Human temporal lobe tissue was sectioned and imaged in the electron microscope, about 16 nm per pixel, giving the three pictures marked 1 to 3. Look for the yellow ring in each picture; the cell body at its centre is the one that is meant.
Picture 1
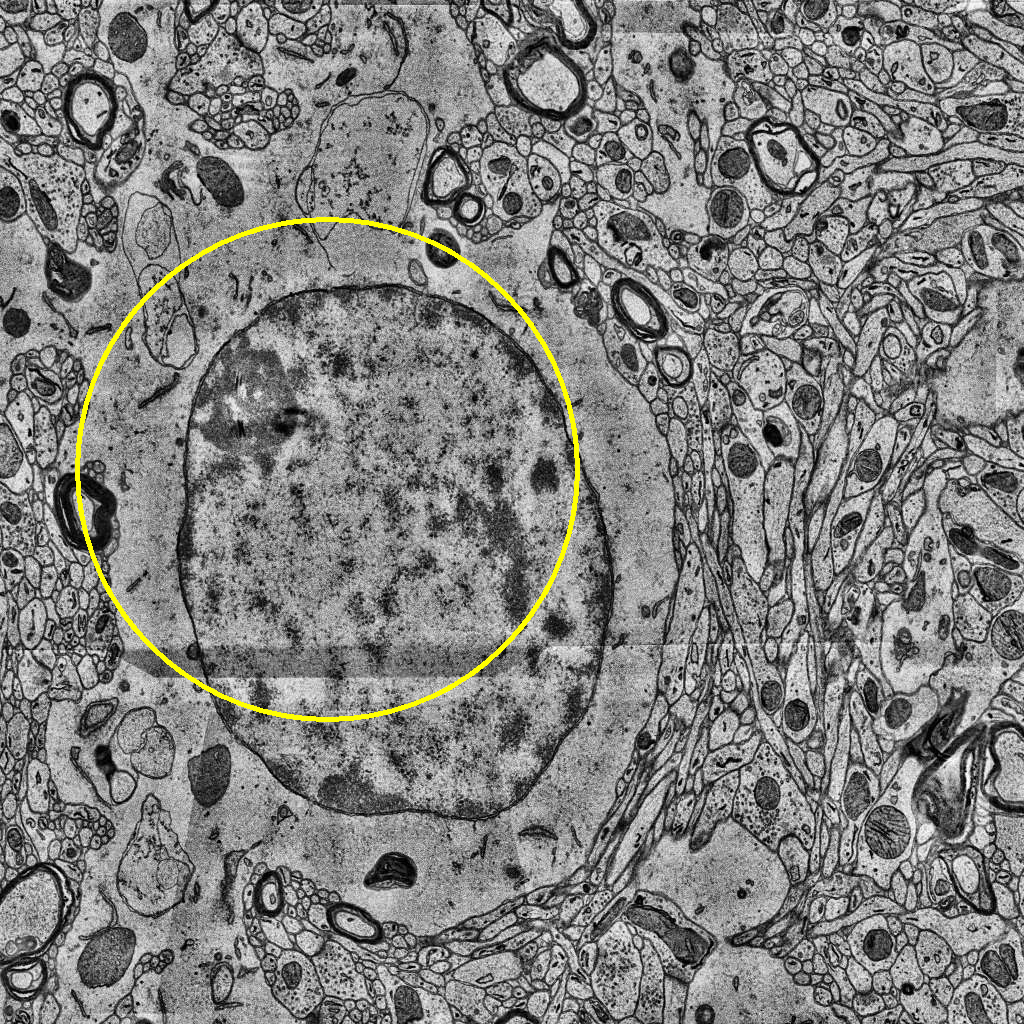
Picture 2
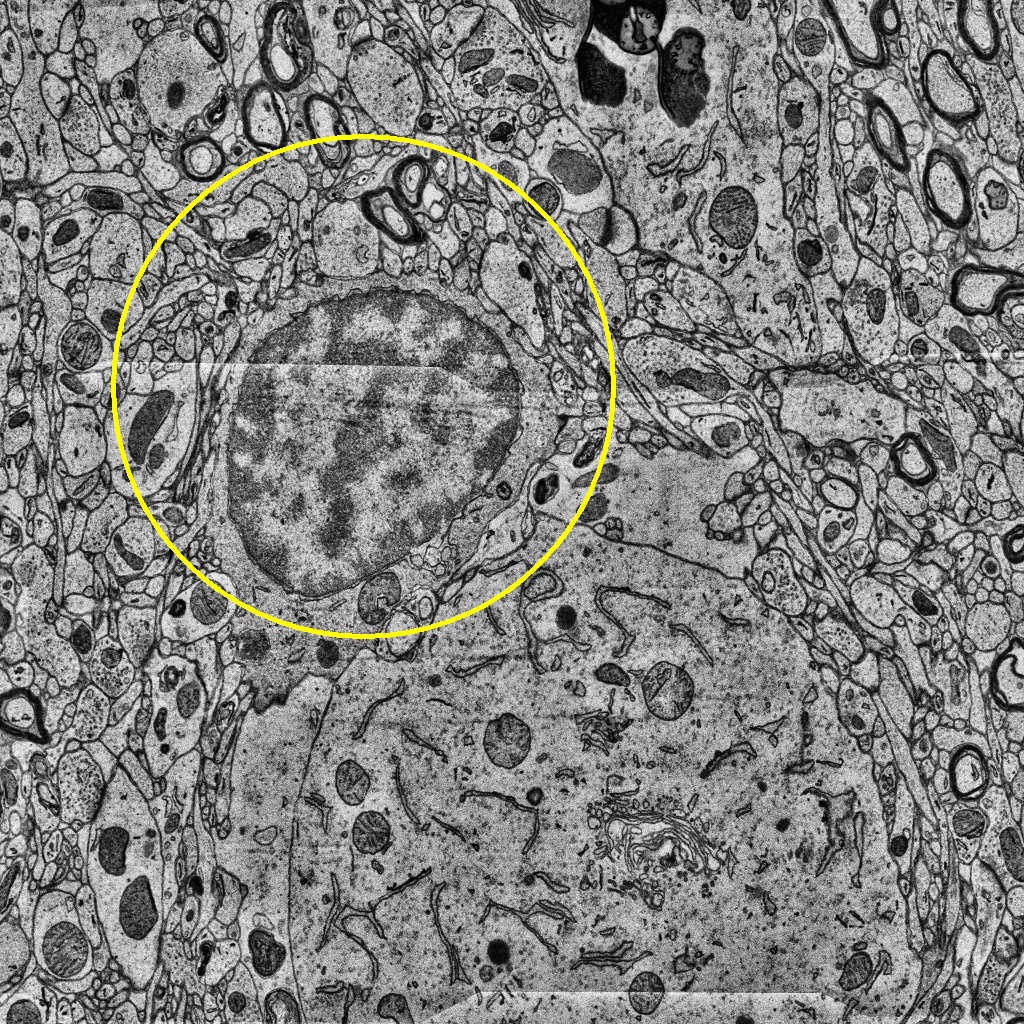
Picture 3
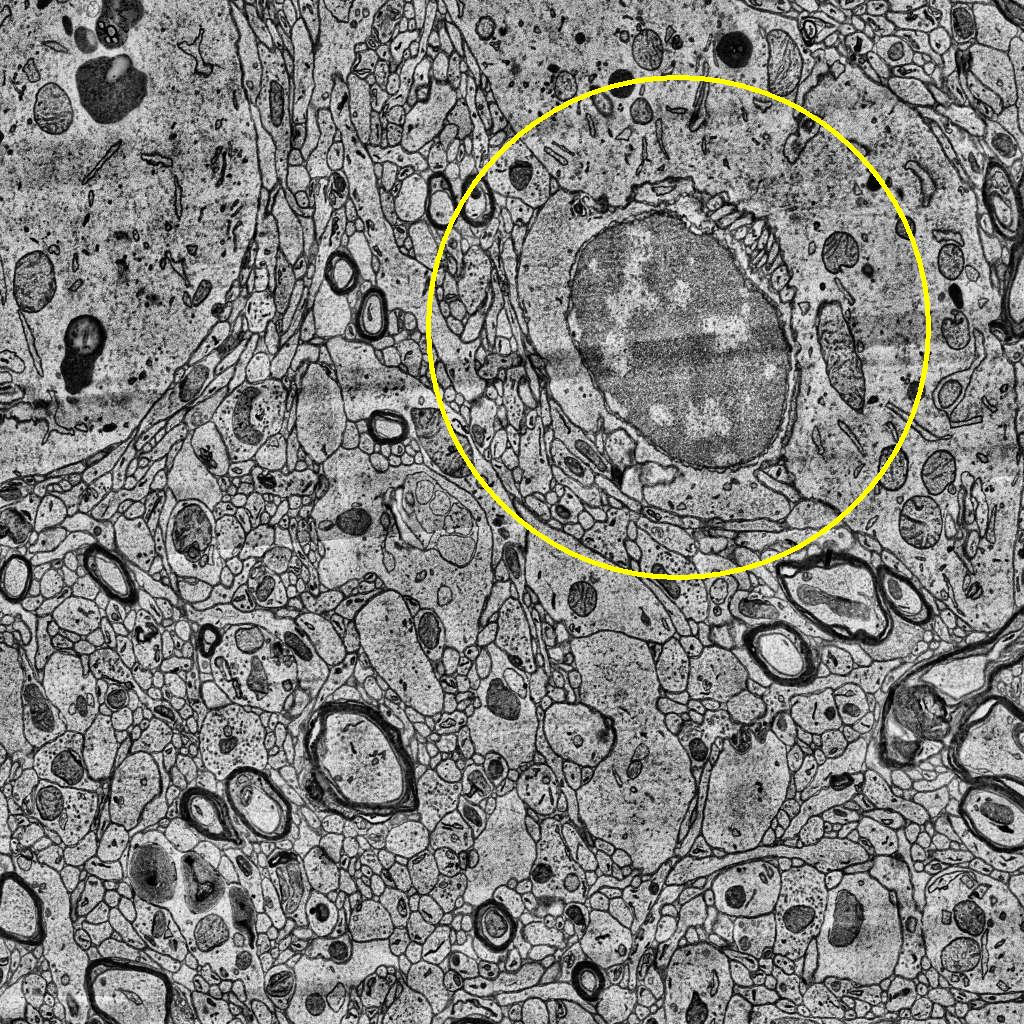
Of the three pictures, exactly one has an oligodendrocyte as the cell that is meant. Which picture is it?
It is picture 2 that shows the oligodendrocyte.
